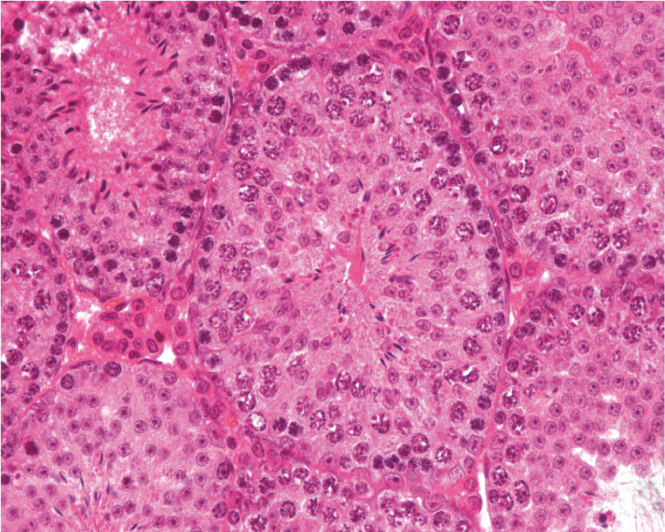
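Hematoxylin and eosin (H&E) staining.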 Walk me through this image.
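This section of testis shows closely packed seminiferous tubules cut in cross section, each filled with a thick, many-layered epithelium of germ cells. Small cells with dark nuclei sit along the thin tubule wall, and above them lie many larger cells with round nuclei holding coarse, clumped purple chromatin. Toward the tubule centres the cells become smaller, with pale pink cytoplasm and small round nuclei. In some tubules slender, dark, elongated nuclei gather near the lumen. The narrow spaces between tubules hold small clusters of pink-staining interstitial cells.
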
